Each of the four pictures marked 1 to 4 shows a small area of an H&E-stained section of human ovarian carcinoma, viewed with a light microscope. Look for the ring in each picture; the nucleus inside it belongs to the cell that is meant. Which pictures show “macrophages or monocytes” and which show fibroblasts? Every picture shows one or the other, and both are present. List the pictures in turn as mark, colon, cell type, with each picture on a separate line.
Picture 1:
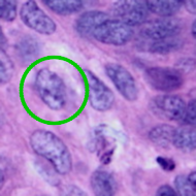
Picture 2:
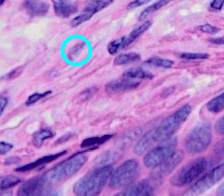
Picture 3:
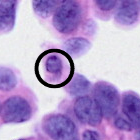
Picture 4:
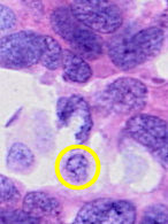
1: fibroblast
2: fibroblast
3: macrophage or monocyte
4: macrophage or monocyte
